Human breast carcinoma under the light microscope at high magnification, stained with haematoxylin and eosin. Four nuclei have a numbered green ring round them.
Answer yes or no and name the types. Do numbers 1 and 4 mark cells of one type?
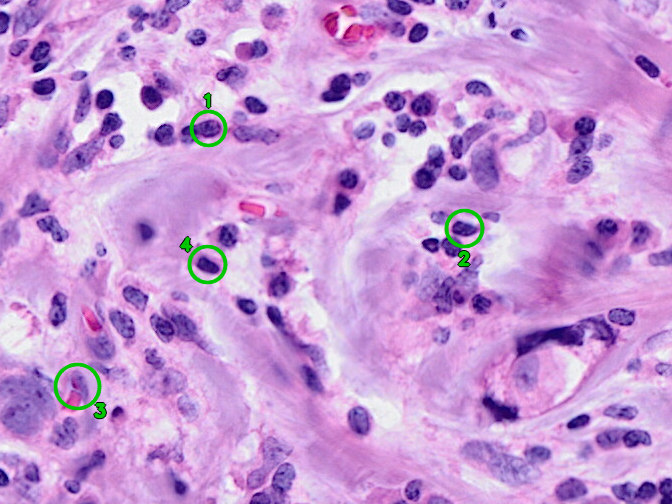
Yes, cell 1 is one of the lymphocytes, and so is cell 4.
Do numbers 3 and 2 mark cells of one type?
No; cell 3 is an endothelial cell, whereas cell 2 is a lymphocyte.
